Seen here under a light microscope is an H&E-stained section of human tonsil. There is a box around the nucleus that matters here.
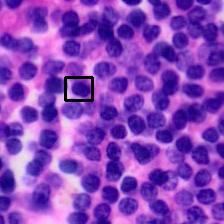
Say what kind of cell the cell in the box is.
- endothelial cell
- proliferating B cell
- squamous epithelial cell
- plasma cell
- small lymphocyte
small lymphocyte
